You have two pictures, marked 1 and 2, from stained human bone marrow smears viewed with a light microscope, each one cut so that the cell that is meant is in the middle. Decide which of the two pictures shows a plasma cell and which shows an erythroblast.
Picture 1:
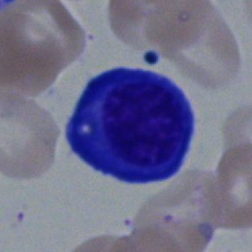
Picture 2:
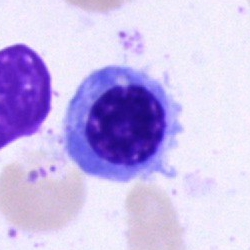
1: plasma cell
2: erythroblast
